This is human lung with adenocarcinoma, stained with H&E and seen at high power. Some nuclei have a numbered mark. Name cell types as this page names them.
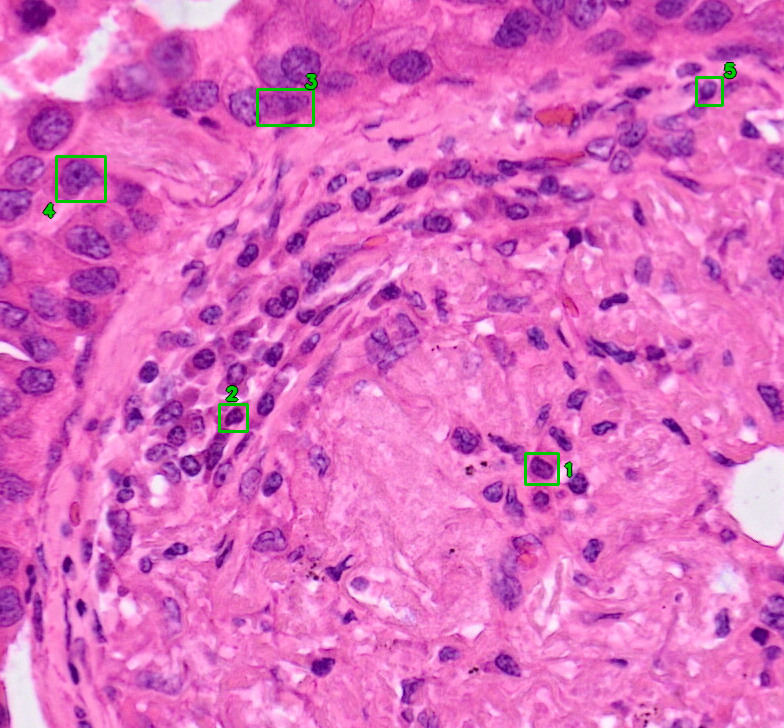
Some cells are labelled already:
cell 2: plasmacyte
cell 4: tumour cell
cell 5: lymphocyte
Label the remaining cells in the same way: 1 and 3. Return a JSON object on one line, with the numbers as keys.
{"1": "plasmacyte", "3": "tumour cell"}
